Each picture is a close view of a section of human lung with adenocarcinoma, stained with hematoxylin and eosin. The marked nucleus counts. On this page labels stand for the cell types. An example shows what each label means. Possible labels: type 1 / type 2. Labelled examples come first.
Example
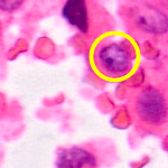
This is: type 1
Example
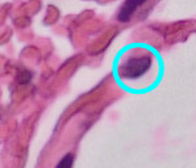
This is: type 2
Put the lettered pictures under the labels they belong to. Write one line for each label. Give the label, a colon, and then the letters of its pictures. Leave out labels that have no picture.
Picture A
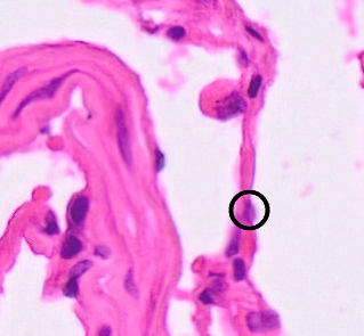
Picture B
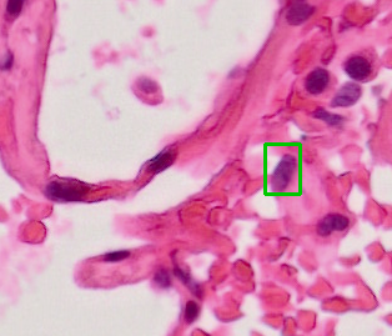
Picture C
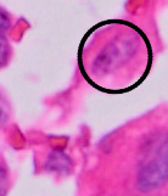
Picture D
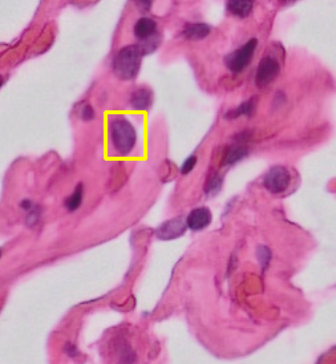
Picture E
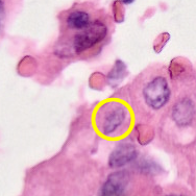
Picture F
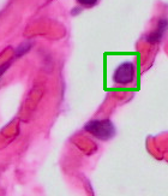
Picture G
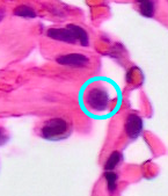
type 1: C, E
type 2: A, B, D, F, G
